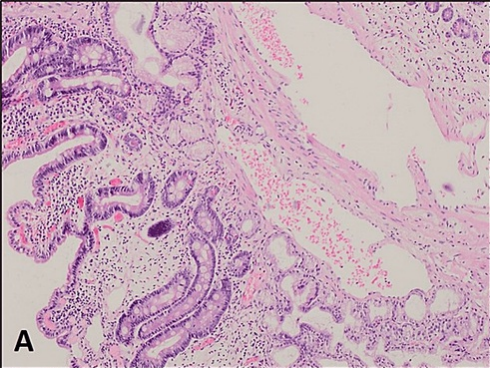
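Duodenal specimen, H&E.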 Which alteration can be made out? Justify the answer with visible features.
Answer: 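Intestinal mucosa with glands lined by columnar epithelium lies at the left. Beneath and beside it are wide, thin-walled spaces containing red blood cells. That points to this answer: submucosal dilated vascular spaces.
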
